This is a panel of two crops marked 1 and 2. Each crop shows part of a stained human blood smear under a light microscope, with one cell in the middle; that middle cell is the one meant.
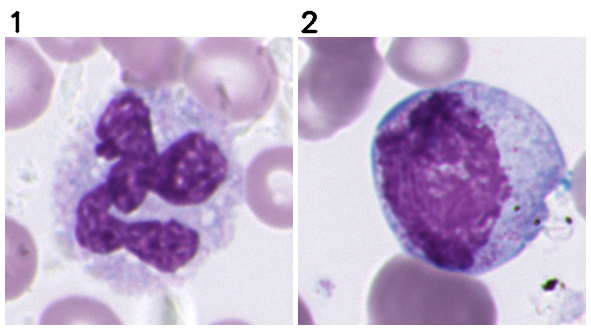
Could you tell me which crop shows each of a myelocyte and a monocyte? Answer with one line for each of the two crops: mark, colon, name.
1: monocyte
2: myelocyte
